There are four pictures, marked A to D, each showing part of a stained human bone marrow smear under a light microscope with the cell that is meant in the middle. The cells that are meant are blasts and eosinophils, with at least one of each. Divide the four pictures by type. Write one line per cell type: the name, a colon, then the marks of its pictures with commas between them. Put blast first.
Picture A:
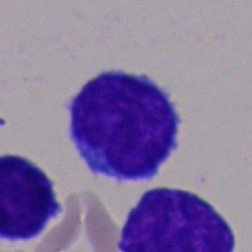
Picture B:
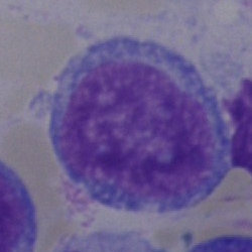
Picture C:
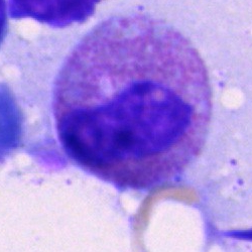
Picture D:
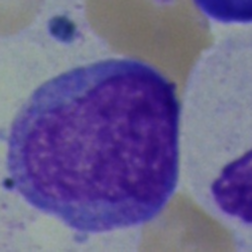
blast: A, B, D
eosinophil: C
